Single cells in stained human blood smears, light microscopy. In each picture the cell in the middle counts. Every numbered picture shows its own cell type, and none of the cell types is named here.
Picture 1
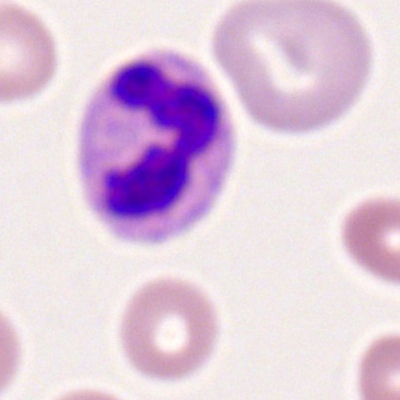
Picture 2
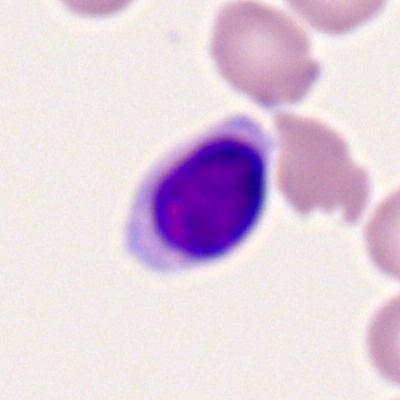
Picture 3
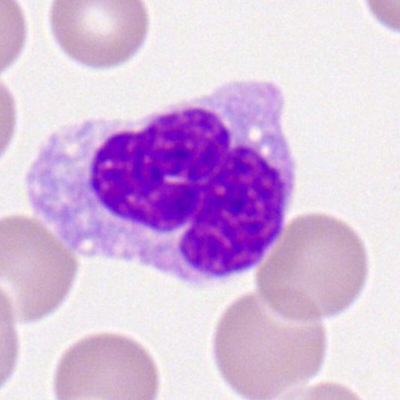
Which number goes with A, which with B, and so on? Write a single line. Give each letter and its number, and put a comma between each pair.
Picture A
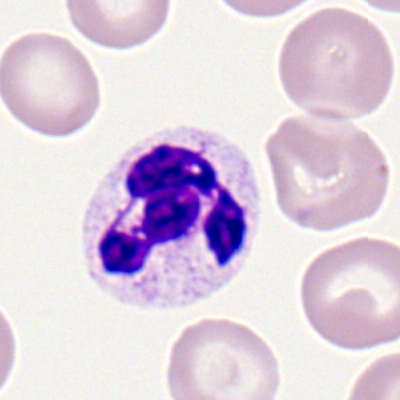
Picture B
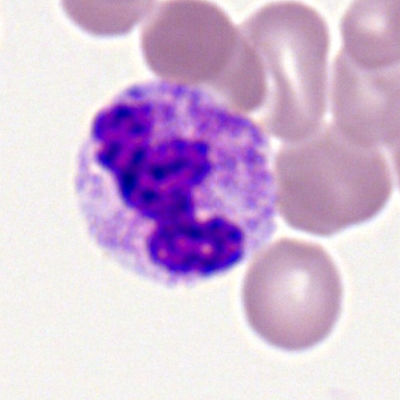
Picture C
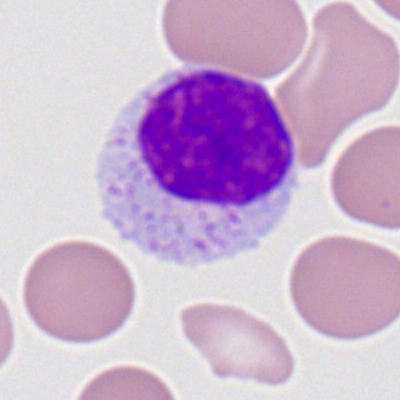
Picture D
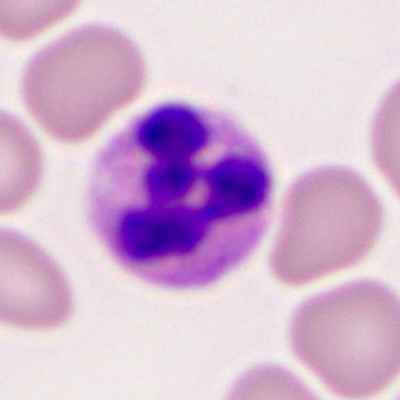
A 1, B 1, C 2, D 1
